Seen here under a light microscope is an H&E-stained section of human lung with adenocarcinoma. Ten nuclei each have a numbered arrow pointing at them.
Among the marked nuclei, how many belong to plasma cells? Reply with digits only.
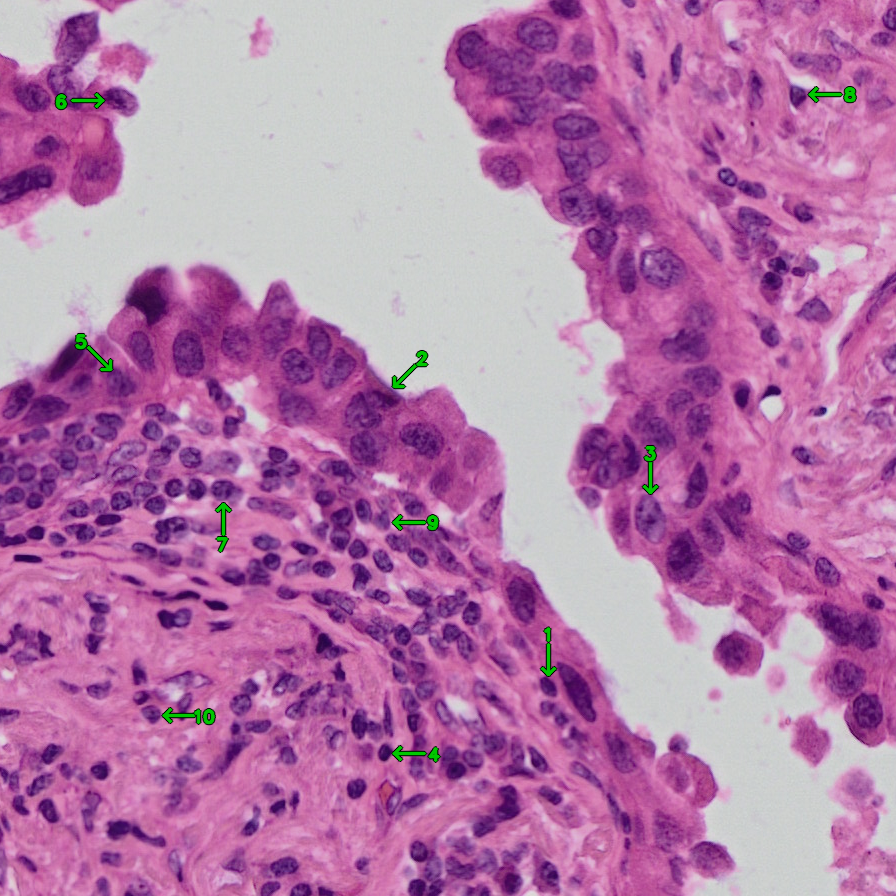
1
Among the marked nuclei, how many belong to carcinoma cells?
4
